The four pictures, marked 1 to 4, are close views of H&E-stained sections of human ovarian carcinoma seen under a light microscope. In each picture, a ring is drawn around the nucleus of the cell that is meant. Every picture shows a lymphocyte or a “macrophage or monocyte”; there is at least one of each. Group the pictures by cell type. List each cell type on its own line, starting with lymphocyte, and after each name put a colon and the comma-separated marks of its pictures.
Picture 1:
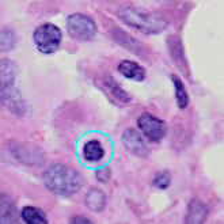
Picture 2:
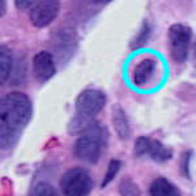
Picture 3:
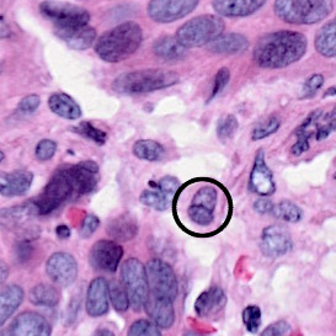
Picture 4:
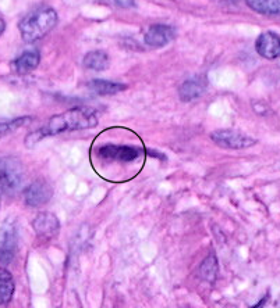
lymphocyte: 1
macrophage or monocyte: 2, 3, 4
